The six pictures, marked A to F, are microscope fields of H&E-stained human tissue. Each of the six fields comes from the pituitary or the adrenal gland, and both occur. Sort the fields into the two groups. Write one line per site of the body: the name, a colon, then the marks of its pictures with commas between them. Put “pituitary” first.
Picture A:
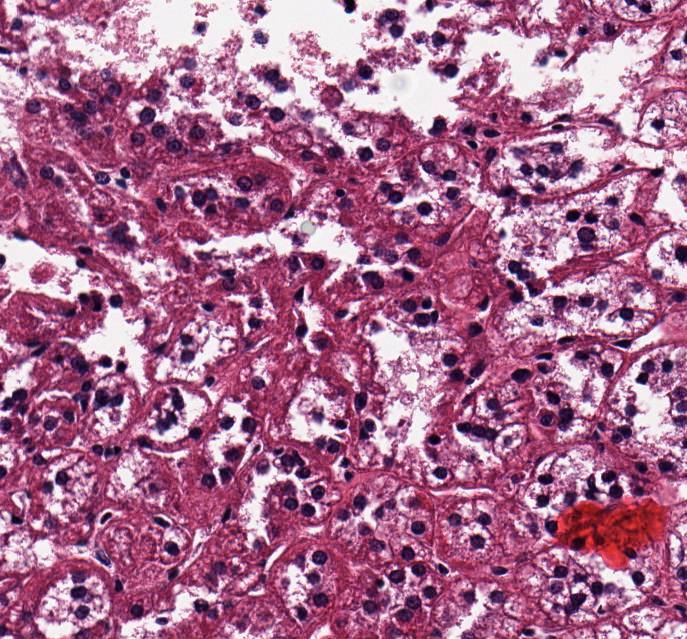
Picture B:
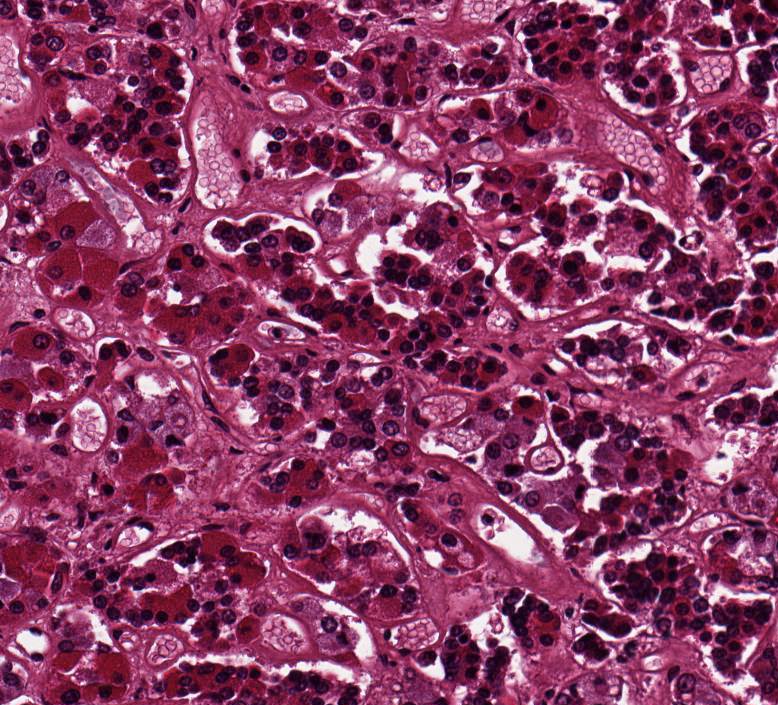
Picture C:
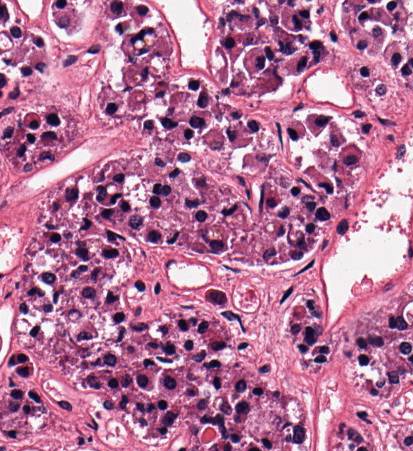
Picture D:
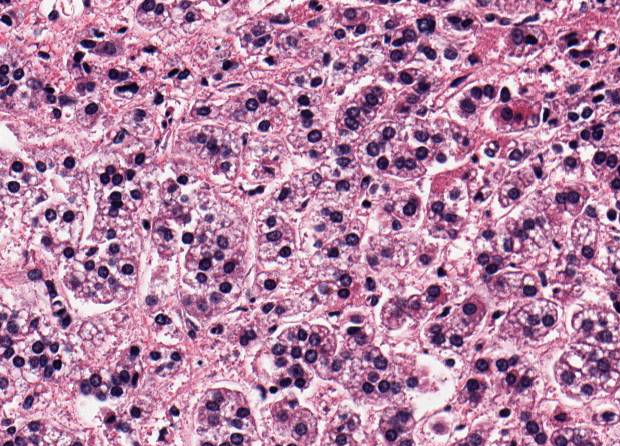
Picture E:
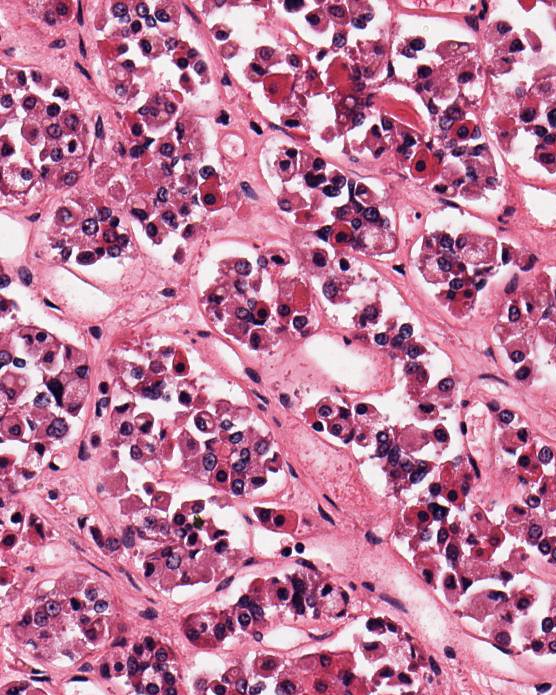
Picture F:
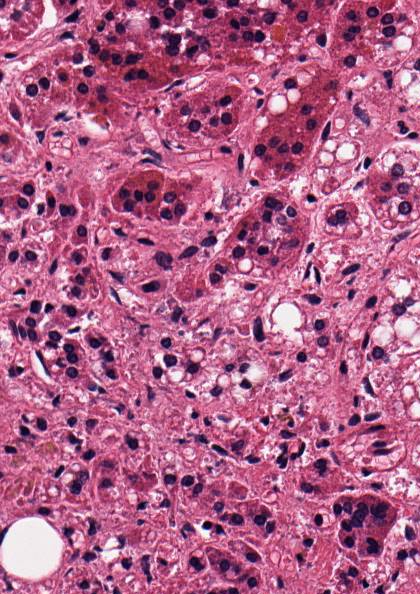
pituitary: B, C, E
adrenal gland: A, D, F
